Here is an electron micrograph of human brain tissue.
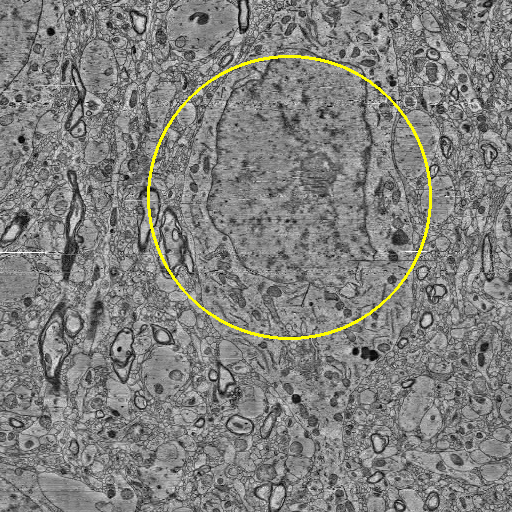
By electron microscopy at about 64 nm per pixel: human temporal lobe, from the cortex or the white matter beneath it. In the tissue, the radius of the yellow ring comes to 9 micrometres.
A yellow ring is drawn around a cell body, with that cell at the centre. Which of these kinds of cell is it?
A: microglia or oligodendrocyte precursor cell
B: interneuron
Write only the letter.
B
